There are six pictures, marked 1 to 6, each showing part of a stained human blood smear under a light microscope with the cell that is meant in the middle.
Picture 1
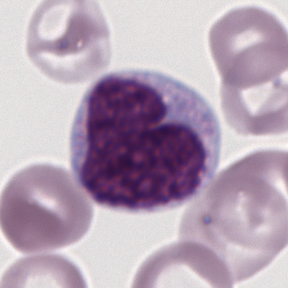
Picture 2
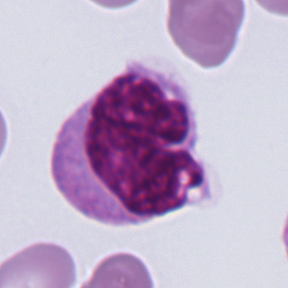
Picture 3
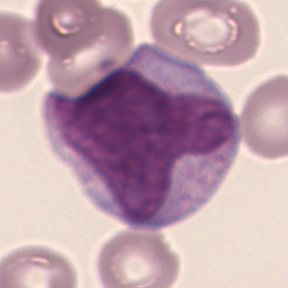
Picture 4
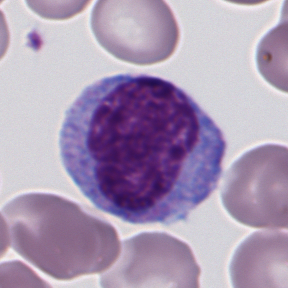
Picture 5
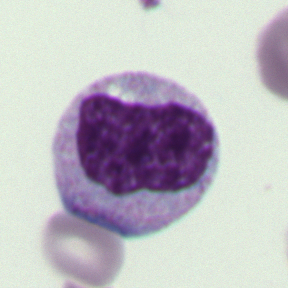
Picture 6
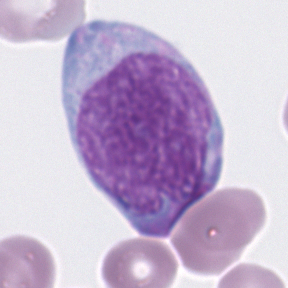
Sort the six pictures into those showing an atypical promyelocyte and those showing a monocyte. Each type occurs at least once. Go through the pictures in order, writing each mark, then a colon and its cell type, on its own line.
1: monocyte
2: monocyte
3: atypical promyelocyte
4: monocyte
5: monocyte
6: atypical promyelocyte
